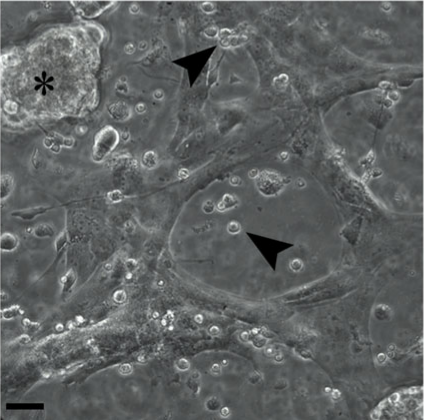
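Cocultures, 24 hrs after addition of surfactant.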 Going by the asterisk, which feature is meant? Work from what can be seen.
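Clumps. The asterisk lies on a rounded, refractile mass made of many cells. The mass stands out from the flat cell layer around it.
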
